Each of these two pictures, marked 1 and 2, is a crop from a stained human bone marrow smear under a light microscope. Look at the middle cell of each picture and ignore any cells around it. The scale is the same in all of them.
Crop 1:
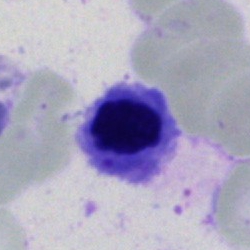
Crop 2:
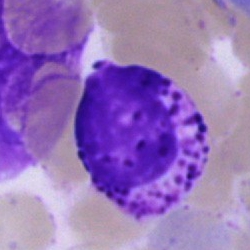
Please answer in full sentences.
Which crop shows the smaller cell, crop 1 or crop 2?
The cell in crop 1 is smaller; the one in crop 2 has about 2 times its area.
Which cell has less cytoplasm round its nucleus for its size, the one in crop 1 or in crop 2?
It is the cell in crop 2 that is filled more by its nucleus.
